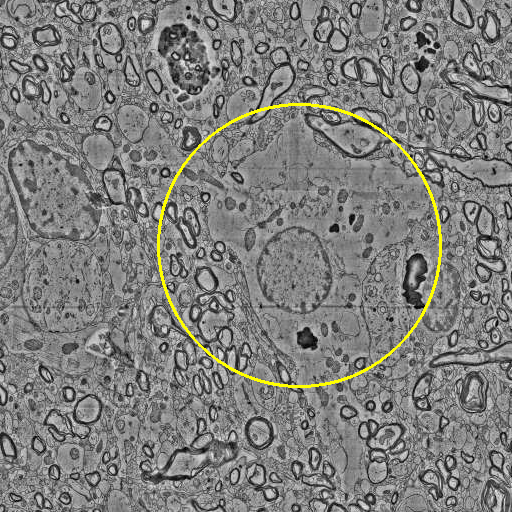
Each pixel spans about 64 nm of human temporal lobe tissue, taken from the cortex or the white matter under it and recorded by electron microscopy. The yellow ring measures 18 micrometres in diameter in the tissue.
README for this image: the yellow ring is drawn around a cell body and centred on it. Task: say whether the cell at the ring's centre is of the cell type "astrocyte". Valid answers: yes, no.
yes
